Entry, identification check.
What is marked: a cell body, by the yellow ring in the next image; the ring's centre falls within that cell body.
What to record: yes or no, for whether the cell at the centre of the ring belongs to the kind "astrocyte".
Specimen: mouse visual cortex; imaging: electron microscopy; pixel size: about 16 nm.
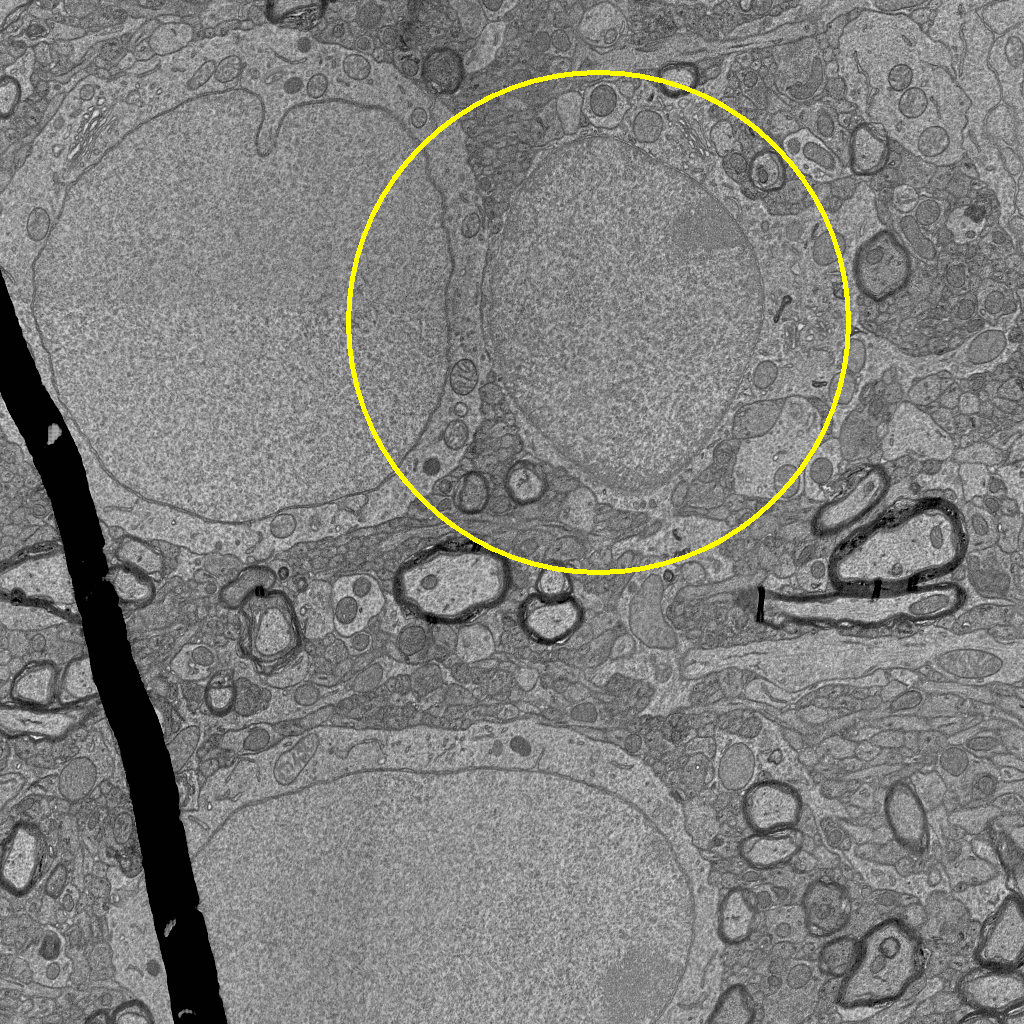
Yes, it belongs to that kind.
